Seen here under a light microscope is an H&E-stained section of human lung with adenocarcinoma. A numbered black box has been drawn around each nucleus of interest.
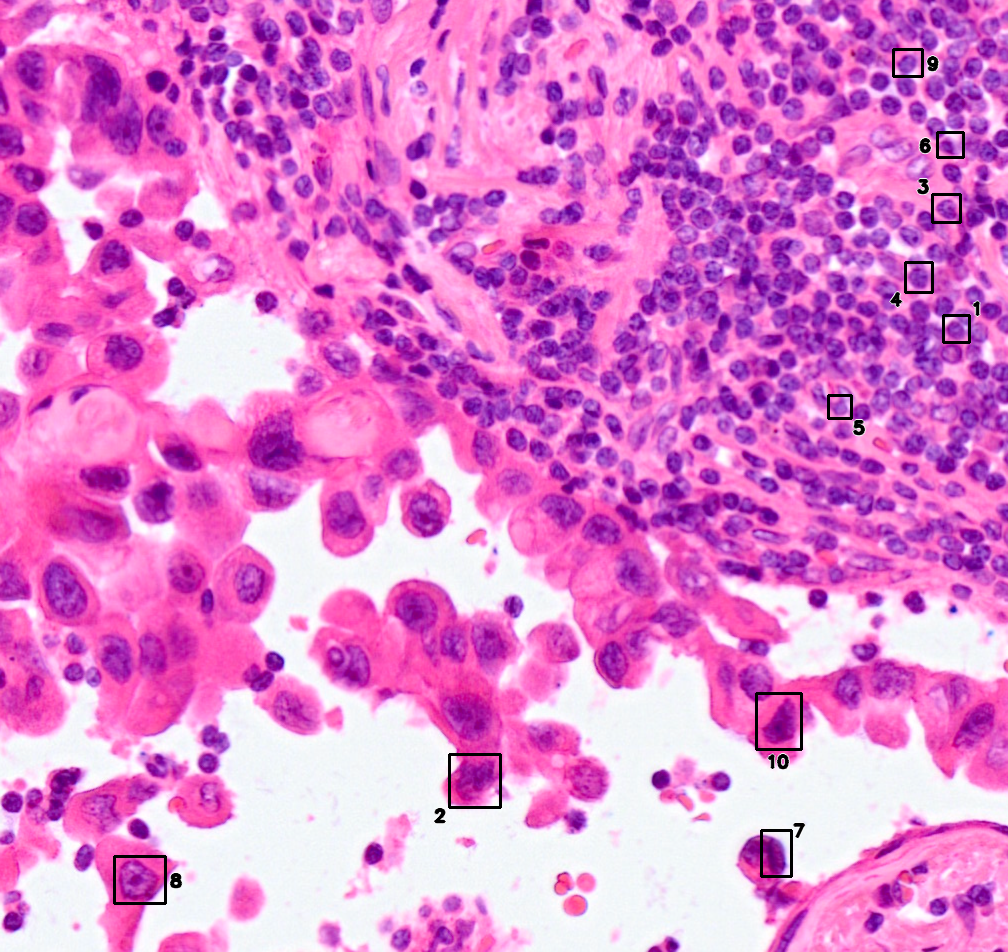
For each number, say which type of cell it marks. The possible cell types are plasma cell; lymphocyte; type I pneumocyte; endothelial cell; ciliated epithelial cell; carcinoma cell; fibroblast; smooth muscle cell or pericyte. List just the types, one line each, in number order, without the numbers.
lymphocyte
carcinoma cell
lymphocyte
lymphocyte
lymphocyte
lymphocyte
carcinoma cell
carcinoma cell
lymphocyte
carcinoma cell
